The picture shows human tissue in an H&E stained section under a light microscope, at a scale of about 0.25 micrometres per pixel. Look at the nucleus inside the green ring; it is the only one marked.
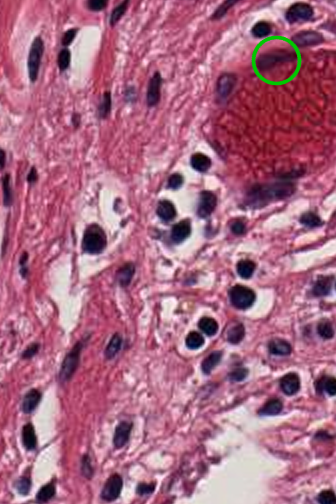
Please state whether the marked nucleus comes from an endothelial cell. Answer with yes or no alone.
yes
